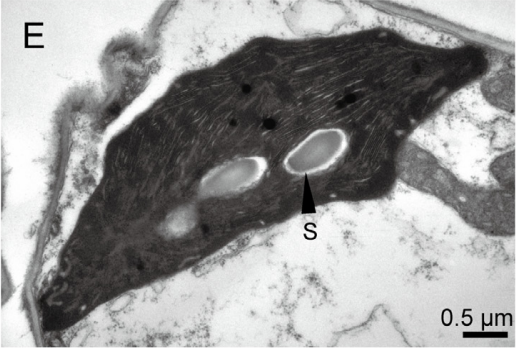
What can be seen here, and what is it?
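An irregularly shaped chloroplast with a dark stroma is filled with many thin, pale, roughly parallel membrane lines running along its length. Only two small pale oval starch granules with bright rims and a faint third are seen, together with a few small dark dots.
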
